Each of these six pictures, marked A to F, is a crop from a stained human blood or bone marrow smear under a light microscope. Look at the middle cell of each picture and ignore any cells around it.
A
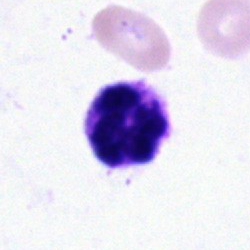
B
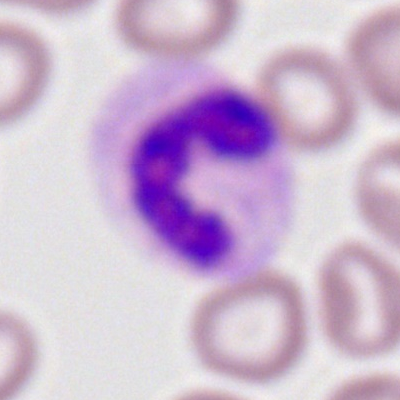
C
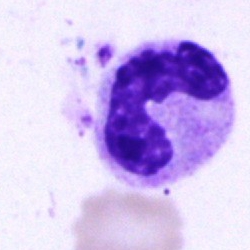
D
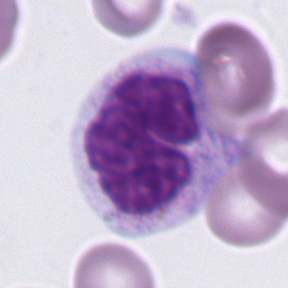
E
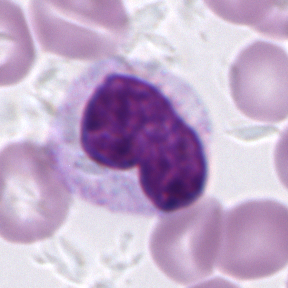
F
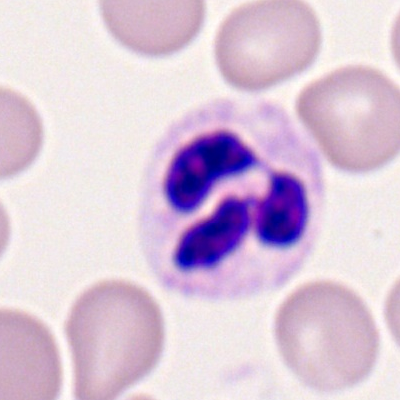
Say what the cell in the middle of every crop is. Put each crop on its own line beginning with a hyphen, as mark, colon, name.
- A: segmented neutrophil
- B: band neutrophil
- C: band neutrophil
- D: band neutrophil
- E: band neutrophil
- F: segmented neutrophil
